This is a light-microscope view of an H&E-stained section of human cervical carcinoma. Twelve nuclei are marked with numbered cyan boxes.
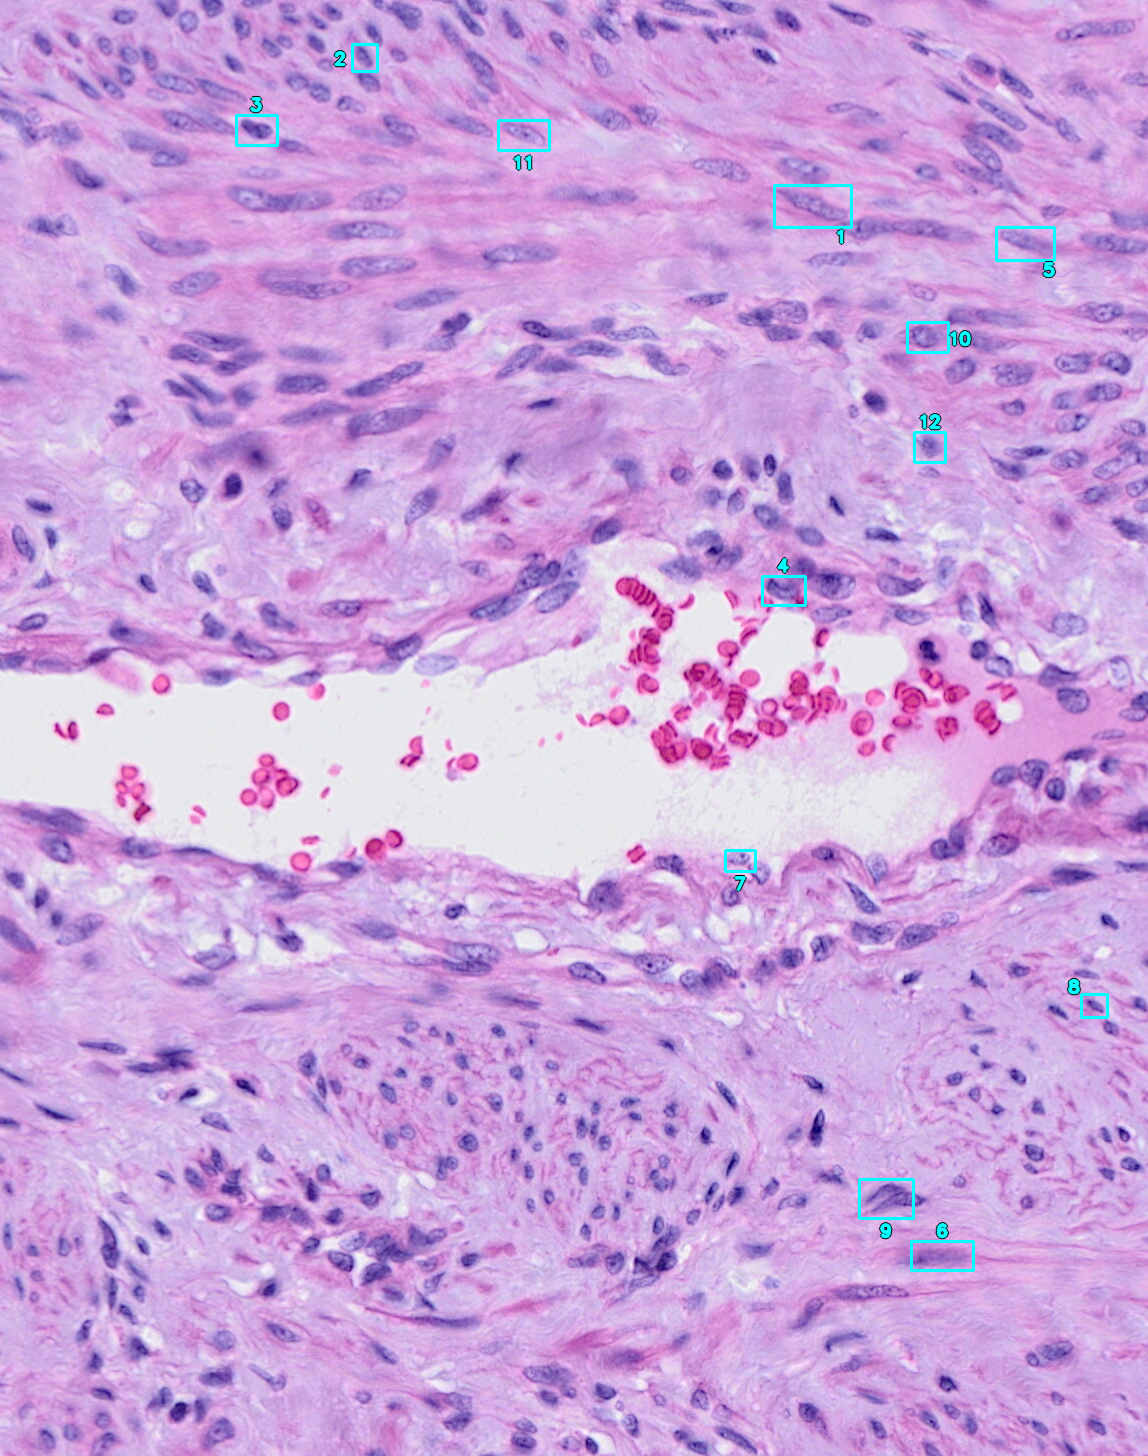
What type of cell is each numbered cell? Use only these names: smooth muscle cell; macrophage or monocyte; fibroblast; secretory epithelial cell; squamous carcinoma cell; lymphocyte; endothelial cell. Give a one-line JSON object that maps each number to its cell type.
{"1": "smooth muscle cell", "2": "smooth muscle cell", "3": "lymphocyte", "4": "endothelial cell", "5": "smooth muscle cell", "6": "smooth muscle cell", "7": "endothelial cell", "8": "smooth muscle cell", "9": "fibroblast", "10": "smooth muscle cell", "11": "smooth muscle cell", "12": "fibroblast"}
